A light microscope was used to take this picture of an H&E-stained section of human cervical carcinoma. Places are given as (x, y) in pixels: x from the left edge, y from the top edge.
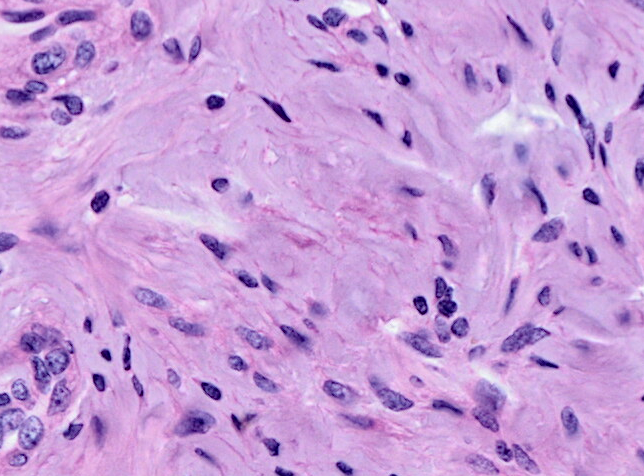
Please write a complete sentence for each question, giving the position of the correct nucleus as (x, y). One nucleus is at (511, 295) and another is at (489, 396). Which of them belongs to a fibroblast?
The nucleus at (511, 295) is the member of the pair belonging to a fibroblast.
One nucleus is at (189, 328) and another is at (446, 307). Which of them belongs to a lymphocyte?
At (446, 307) lies the nucleus that belongs to a lymphocyte.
